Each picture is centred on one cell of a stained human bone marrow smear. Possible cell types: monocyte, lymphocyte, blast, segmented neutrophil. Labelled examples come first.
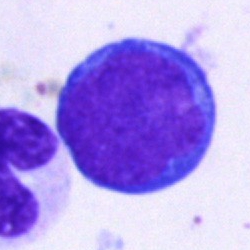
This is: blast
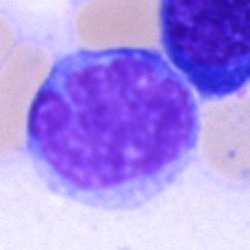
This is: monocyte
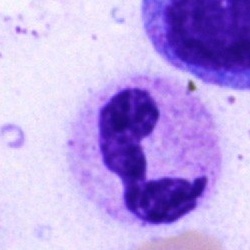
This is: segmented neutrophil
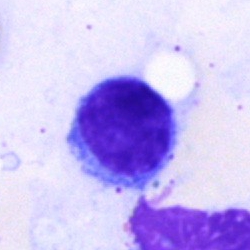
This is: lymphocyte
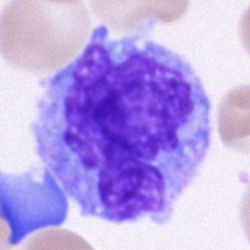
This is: monocyte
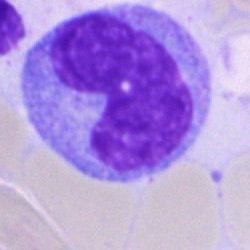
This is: monocyte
